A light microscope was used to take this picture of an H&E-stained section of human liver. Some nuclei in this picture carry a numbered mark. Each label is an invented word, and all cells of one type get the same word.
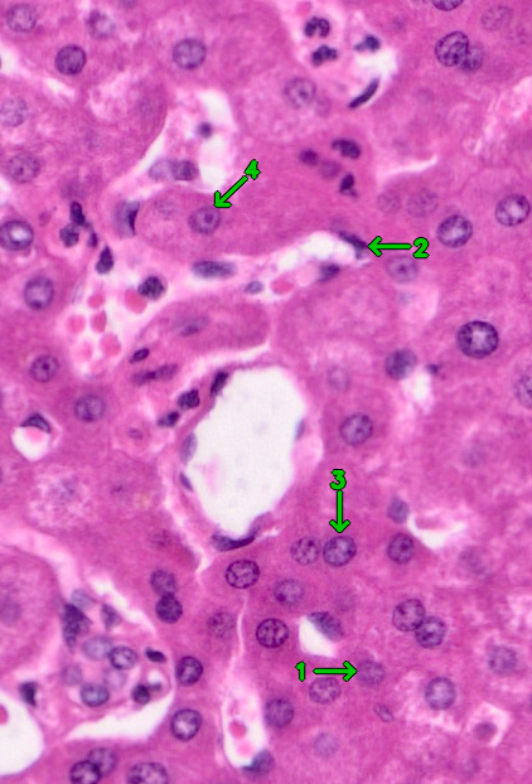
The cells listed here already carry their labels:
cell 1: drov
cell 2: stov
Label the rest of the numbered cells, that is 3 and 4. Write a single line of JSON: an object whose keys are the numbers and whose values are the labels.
{"3": "drov", "4": "drov"}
